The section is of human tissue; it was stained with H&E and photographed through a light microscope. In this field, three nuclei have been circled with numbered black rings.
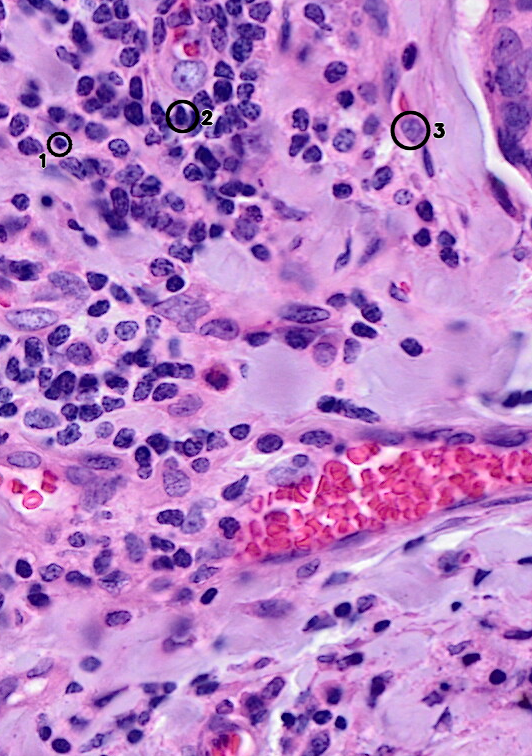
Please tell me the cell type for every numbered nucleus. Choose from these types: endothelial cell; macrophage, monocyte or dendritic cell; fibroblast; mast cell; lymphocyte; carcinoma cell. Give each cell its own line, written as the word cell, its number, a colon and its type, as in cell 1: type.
cell 1: lymphocyte
cell 2: lymphocyte
cell 3: endothelial cell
